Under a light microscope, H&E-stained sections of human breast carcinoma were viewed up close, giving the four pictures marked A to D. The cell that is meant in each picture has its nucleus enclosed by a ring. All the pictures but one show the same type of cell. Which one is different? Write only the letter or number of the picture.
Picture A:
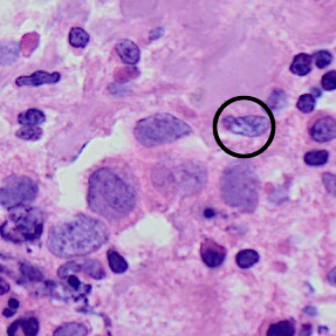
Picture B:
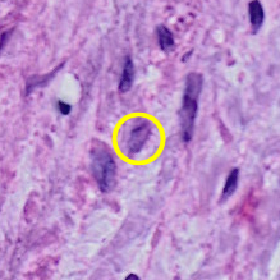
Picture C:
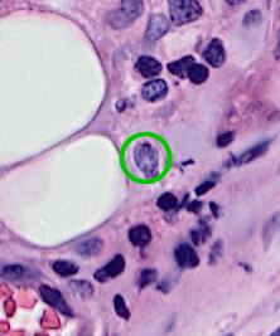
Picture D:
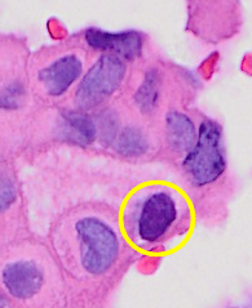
D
